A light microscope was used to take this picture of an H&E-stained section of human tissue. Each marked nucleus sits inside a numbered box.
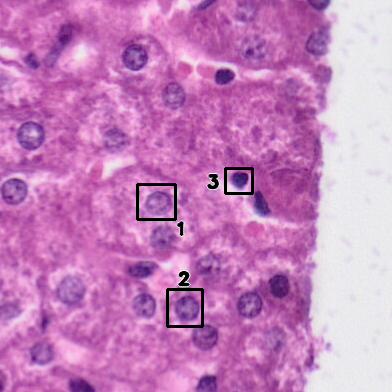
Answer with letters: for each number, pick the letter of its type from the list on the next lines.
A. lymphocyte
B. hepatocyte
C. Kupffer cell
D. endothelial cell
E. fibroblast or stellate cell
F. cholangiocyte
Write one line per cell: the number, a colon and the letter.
1: B
2: B
3: A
